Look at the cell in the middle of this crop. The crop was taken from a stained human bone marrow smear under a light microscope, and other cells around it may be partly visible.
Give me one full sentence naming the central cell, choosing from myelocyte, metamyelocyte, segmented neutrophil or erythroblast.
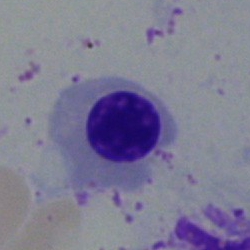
Classified as an erythroblast is the cell in the middle of this crop.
